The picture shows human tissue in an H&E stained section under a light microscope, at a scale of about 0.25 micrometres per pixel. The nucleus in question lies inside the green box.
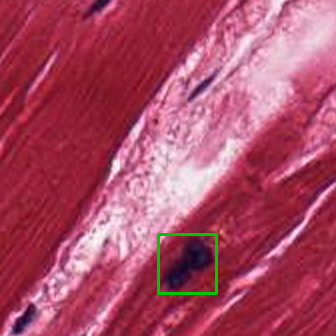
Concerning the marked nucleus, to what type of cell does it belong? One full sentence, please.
The marked nucleus is that of a cardiomyocyte in this section.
